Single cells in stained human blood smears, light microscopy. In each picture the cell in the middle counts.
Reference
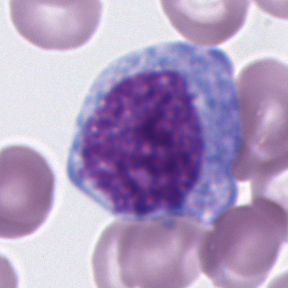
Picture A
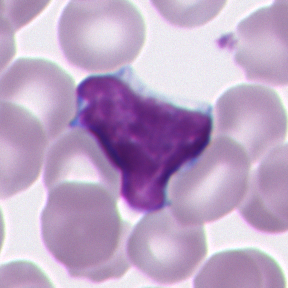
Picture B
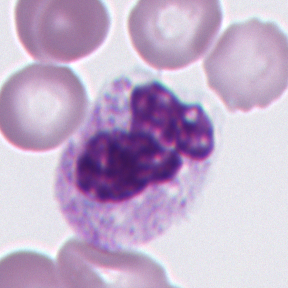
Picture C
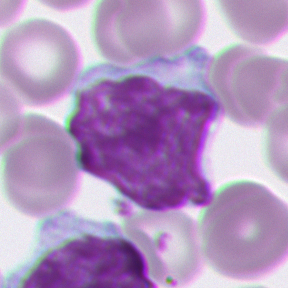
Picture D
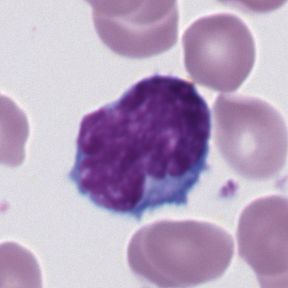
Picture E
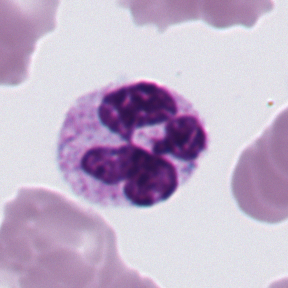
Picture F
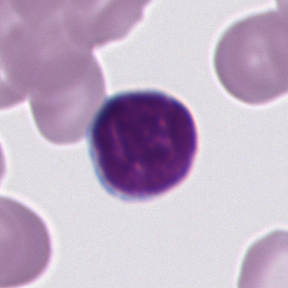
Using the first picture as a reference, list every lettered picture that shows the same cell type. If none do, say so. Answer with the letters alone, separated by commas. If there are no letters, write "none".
D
